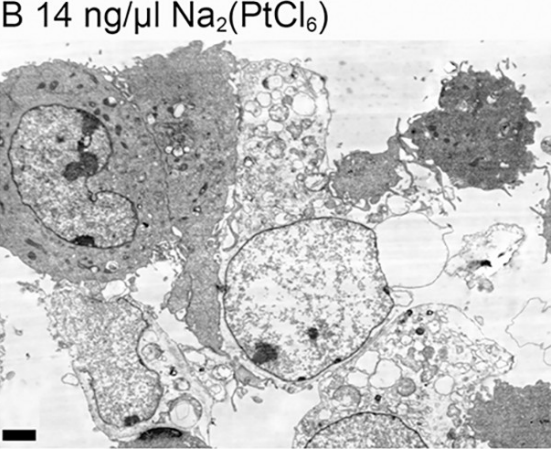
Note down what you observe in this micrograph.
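A group of cultured cells of mixed appearance. At left, an intact cell has a large nucleus with an irregular, indented outline and dark clumps of chromatin, surrounded by evenly grey cytoplasm. Beside it and to the right lie dark, compact cells with dense cytoplasm and surface projections. Other cells are markedly pale, their cytoplasm thinned and filled with clear vacuoles, and some outlines are broken or incomplete, with loose fragments of membrane nearby. One pale cell holds a large round nucleus with a faint interior.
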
